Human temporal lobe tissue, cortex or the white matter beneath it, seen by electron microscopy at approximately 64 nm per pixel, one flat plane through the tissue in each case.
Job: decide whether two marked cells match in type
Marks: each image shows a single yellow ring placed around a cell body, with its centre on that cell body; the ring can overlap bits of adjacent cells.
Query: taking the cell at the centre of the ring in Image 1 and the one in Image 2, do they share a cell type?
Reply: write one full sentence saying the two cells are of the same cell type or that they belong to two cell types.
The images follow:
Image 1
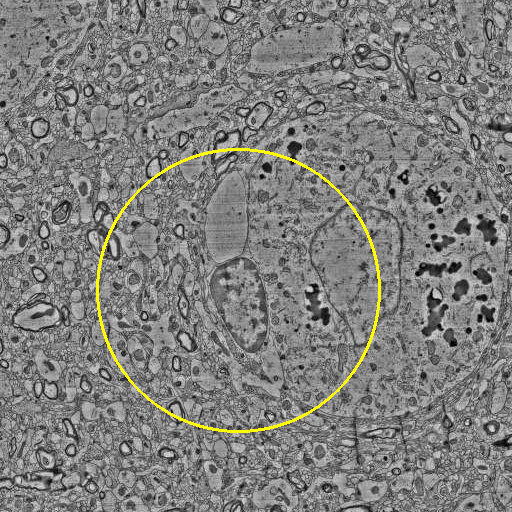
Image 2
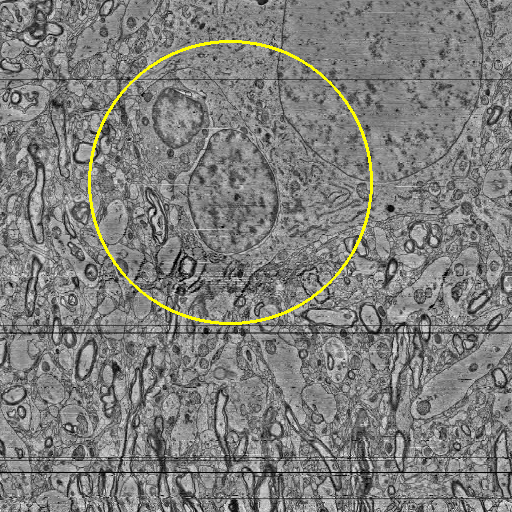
The cells at the ring centres in Image 1 and Image 2 are of the same cell type.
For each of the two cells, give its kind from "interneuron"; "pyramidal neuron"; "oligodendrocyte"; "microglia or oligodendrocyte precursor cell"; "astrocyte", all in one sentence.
The cell in the first picture is a microglial cell or oligodendrocyte precursor cell, and so is the one in the second.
